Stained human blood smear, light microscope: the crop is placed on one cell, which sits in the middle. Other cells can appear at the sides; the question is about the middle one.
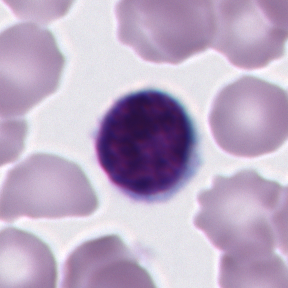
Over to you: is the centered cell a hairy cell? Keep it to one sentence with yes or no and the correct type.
Yes, the cell found in the middle is a hairy cell.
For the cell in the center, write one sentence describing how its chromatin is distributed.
Thanks for asking; the chromatin is coarsely clumped.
